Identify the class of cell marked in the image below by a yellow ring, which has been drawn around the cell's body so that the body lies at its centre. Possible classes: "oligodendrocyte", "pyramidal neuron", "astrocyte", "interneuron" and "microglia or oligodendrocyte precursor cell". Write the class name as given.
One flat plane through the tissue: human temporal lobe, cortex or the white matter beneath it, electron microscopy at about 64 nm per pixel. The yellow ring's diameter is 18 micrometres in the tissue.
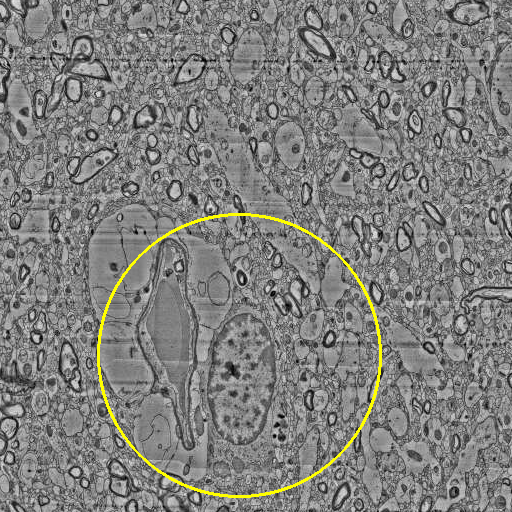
oligodendrocyte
